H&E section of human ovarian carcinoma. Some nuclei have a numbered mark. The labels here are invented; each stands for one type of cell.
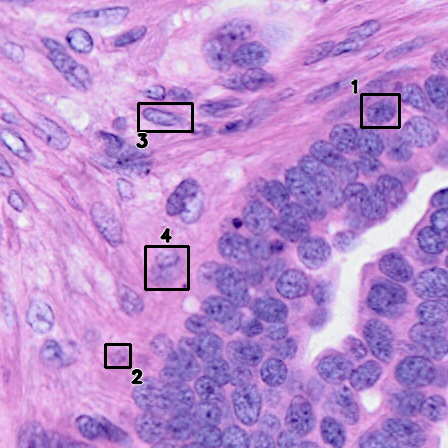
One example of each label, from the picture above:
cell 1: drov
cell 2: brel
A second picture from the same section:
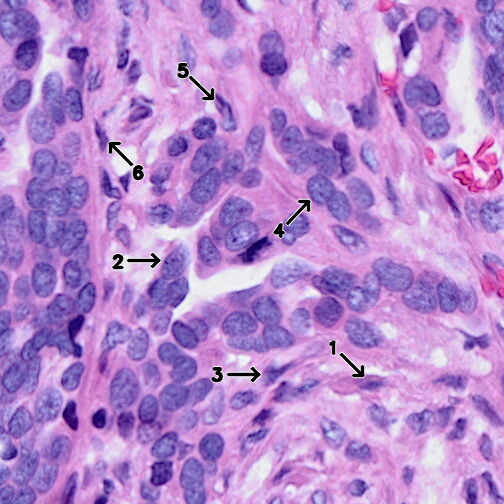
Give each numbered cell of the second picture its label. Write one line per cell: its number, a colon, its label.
1: brel
2: drov
3: brel
4: drov
5: brel
6: brel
